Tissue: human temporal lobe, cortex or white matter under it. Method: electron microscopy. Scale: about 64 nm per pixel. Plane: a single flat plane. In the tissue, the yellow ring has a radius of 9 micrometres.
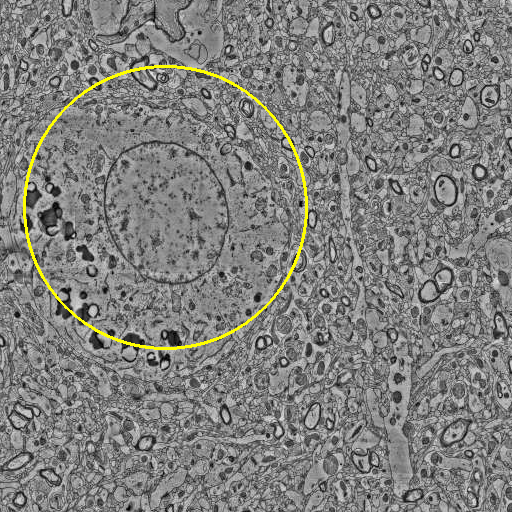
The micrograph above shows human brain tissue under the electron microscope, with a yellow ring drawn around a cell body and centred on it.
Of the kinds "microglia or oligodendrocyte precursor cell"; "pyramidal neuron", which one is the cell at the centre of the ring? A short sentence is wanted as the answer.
The one at the centre of the ring is a pyramidal neuron.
